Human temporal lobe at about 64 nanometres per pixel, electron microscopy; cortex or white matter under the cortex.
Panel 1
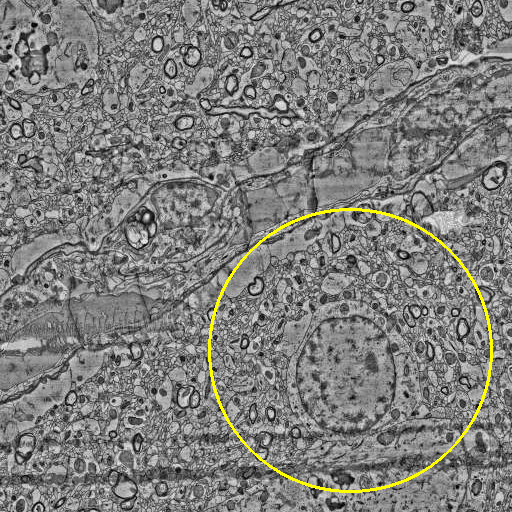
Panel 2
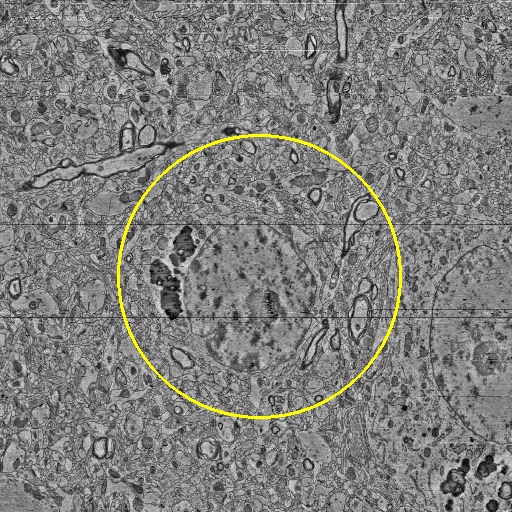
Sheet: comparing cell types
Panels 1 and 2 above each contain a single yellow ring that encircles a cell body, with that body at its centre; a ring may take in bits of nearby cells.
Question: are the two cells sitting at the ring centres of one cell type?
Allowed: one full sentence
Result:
Yes, the ring-centre cells in Panel 1 and Panel 2 are of one type.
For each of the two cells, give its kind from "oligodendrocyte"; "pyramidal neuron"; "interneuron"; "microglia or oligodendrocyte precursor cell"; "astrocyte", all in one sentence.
Each cell at the centre of a ring is an interneuron.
